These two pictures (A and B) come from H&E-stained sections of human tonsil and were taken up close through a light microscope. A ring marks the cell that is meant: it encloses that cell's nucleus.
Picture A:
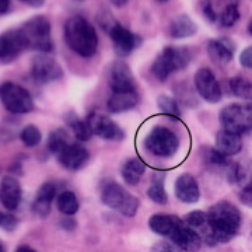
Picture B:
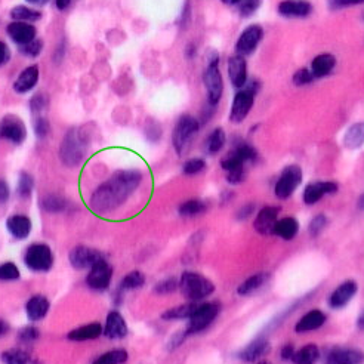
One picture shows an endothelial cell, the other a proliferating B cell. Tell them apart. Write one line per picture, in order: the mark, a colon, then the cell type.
A: proliferating B cell
B: endothelial cell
